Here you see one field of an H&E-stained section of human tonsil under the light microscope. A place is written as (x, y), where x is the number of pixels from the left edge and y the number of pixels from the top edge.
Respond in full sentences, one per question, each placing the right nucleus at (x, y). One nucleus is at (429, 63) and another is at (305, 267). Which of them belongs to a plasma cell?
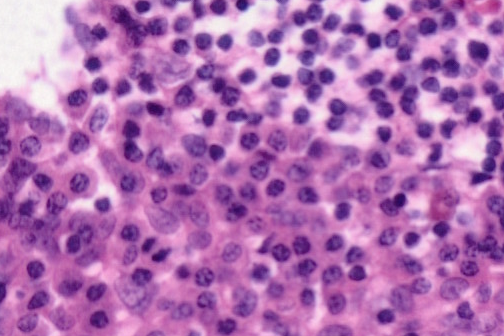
The nucleus found at (305, 267) belongs to a plasma cell.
